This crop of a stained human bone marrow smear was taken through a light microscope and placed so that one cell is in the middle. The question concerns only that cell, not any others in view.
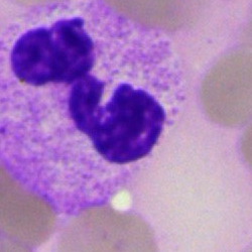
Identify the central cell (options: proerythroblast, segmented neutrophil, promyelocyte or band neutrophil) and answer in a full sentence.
The cell nearest the centre of this crop is a segmented neutrophil.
